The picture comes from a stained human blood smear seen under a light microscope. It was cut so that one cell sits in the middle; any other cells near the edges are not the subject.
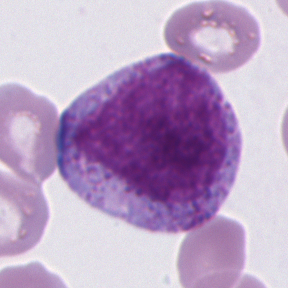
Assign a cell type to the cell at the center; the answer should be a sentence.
The cell occupying the middle of the crop is a promyelocyte.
